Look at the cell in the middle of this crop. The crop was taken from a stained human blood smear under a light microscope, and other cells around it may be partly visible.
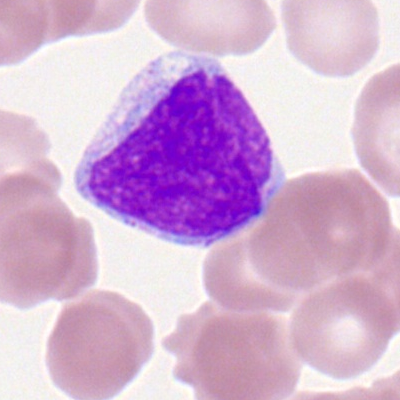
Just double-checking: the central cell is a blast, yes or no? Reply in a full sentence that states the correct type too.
Yes, the cell in the center of the field is a blast.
